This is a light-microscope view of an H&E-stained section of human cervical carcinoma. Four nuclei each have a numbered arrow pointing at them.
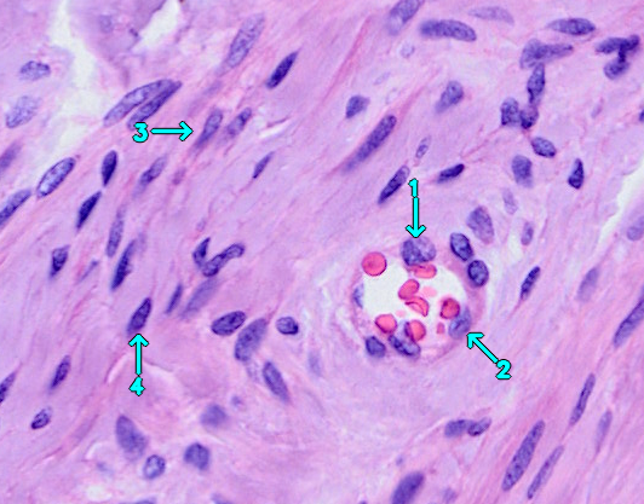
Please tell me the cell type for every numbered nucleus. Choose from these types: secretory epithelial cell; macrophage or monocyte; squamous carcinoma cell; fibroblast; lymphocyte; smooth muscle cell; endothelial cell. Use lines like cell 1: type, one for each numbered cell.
cell 1: endothelial cell
cell 2: endothelial cell
cell 3: smooth muscle cell
cell 4: fibroblast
